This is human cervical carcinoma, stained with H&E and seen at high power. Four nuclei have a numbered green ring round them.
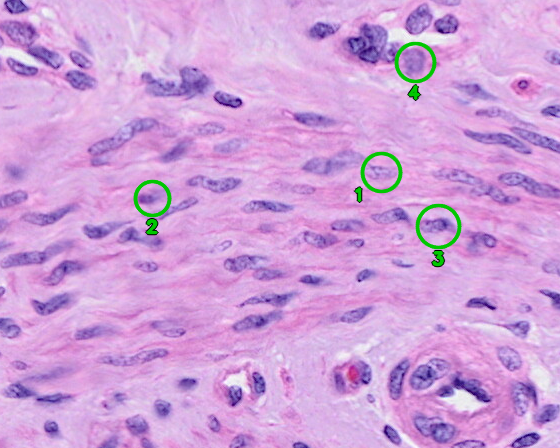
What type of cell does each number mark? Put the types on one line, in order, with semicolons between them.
smooth muscle cell; smooth muscle cell; smooth muscle cell; endothelial cell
